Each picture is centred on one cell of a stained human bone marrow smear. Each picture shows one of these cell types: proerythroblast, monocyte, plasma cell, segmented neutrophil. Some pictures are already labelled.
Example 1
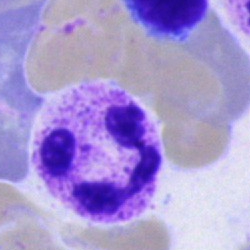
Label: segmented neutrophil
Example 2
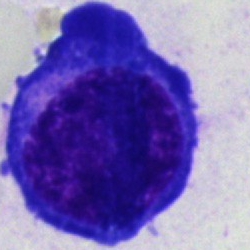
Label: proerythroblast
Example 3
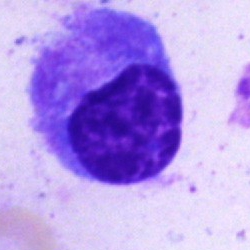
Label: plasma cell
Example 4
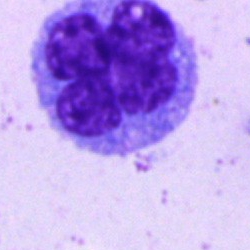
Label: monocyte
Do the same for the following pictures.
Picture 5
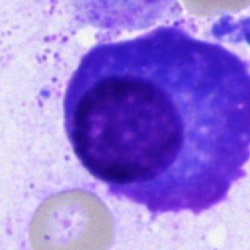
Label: plasma cell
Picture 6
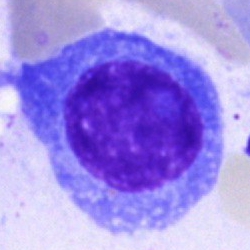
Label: plasma cell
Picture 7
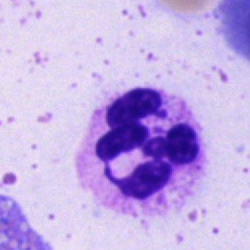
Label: segmented neutrophil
